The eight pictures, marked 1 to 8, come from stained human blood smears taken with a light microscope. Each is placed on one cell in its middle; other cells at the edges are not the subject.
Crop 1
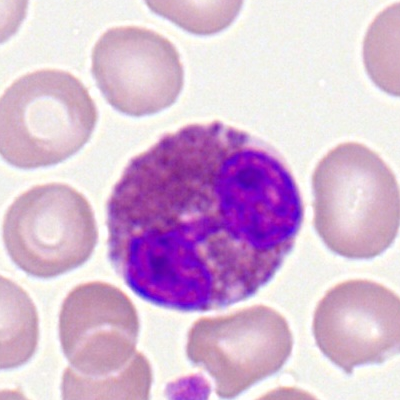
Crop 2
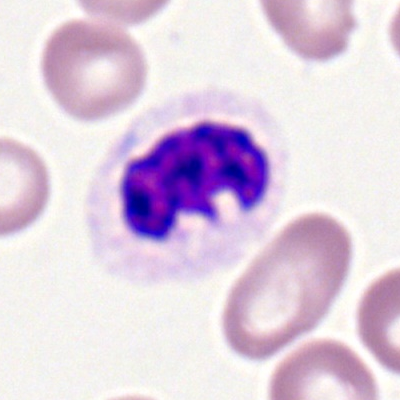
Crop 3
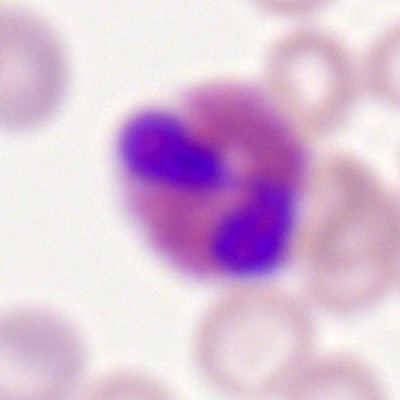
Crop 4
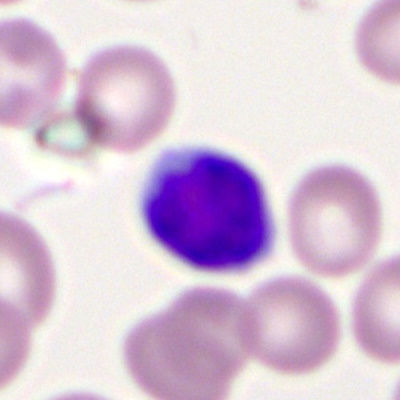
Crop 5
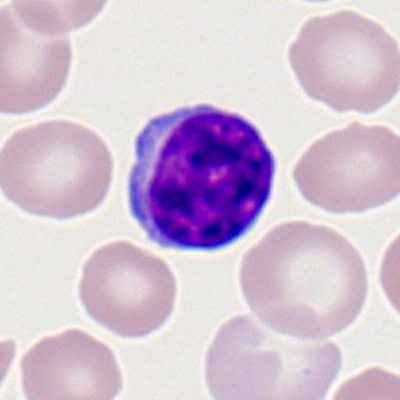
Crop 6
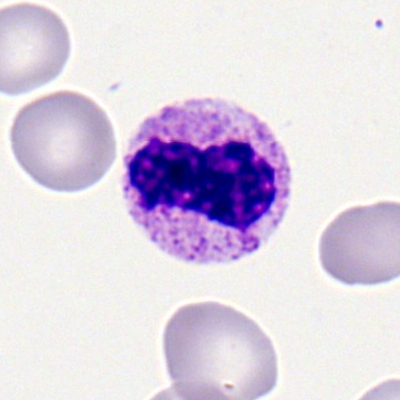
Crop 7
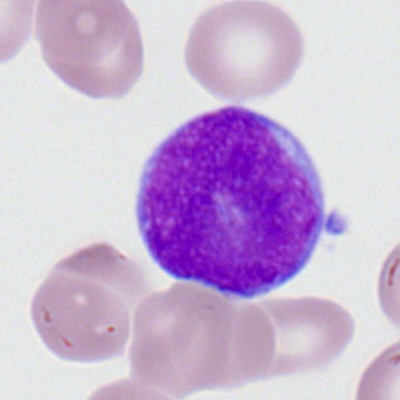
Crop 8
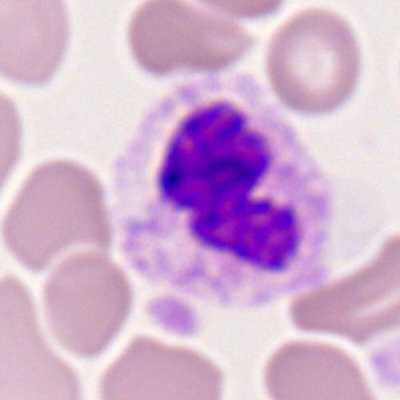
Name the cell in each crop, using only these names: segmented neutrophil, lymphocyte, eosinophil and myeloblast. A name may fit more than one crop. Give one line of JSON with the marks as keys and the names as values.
{"1": "eosinophil", "2": "segmented neutrophil", "3": "eosinophil", "4": "lymphocyte", "5": "lymphocyte", "6": "segmented neutrophil", "7": "myeloblast", "8": "segmented neutrophil"}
